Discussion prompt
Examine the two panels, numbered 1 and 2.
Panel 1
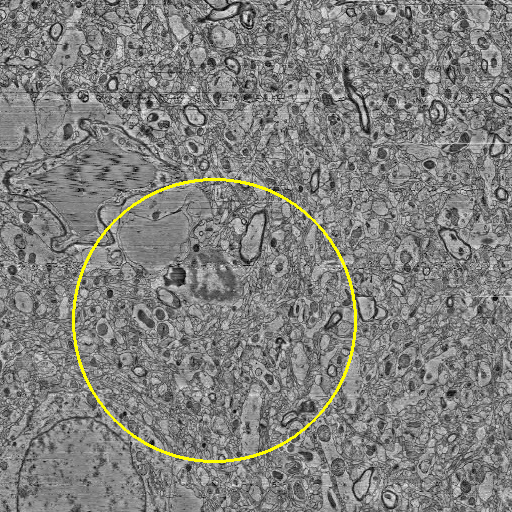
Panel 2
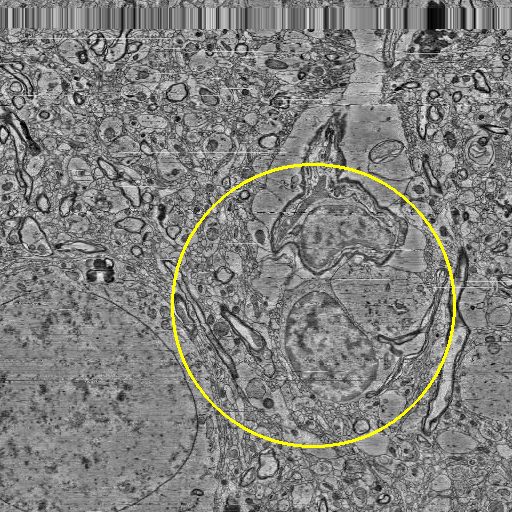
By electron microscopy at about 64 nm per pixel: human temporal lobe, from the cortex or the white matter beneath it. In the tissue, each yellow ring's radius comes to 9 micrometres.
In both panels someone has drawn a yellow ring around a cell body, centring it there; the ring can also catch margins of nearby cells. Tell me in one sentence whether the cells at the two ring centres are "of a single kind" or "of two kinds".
Taken together, the two cells centred in the rings of Panels 1 and 2 are of a single kind.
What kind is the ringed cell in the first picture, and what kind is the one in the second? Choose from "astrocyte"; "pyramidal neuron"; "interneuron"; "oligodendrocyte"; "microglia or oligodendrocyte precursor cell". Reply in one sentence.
Each one of the two ringed cells is an oligodendrocyte.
